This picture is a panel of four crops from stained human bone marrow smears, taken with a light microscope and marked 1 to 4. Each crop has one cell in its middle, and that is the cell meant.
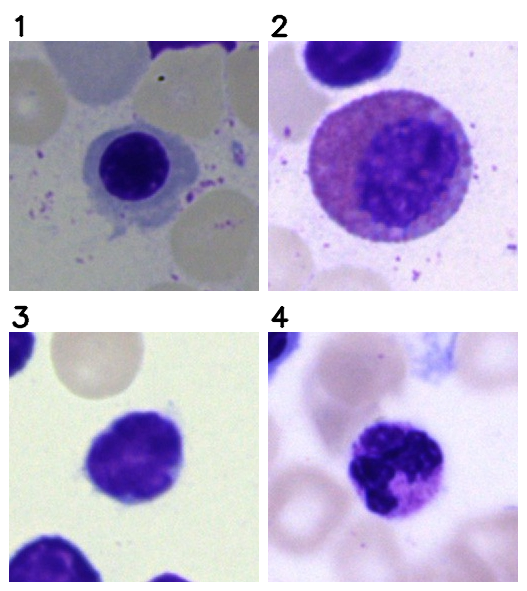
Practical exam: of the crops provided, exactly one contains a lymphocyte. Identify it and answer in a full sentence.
Of the crops given, a lymphocyte is found in crop 3.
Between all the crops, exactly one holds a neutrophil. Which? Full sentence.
Crop 4 is the right one; it is the crop showing a neutrophil.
